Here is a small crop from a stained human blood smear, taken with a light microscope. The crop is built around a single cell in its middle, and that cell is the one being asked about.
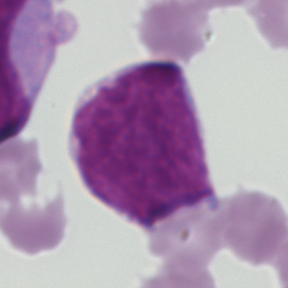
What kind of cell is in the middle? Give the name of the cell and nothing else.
myeloblast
